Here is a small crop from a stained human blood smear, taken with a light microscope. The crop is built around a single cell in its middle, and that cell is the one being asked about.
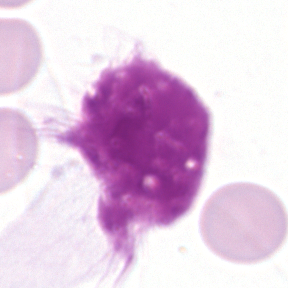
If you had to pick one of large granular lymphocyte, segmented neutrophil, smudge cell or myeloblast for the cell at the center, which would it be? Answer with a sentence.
The cell in the middle of this crop is a smudge cell.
